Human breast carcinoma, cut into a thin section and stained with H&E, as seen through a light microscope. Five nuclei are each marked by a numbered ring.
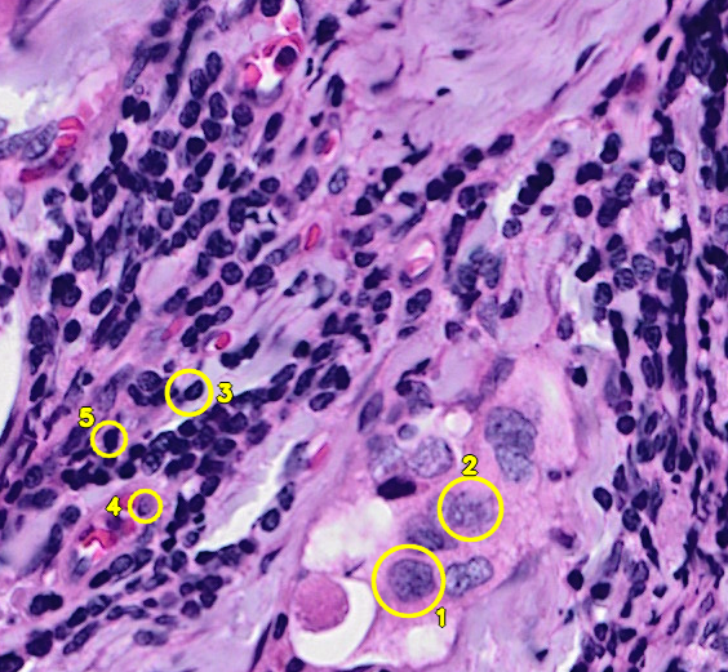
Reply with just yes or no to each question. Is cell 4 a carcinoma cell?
no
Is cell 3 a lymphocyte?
yes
